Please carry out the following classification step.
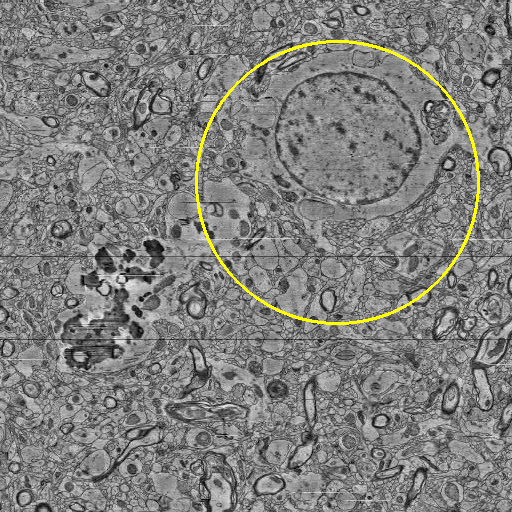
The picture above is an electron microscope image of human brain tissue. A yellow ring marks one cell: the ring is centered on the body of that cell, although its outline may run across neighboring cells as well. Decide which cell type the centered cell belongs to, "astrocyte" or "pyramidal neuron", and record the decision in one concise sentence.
The cell centered in the yellow ring is an astrocyte.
